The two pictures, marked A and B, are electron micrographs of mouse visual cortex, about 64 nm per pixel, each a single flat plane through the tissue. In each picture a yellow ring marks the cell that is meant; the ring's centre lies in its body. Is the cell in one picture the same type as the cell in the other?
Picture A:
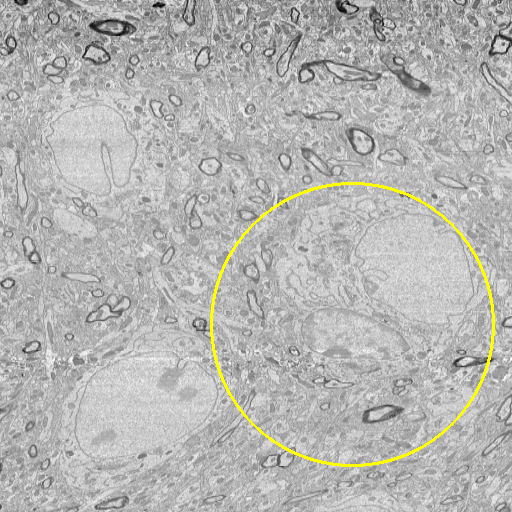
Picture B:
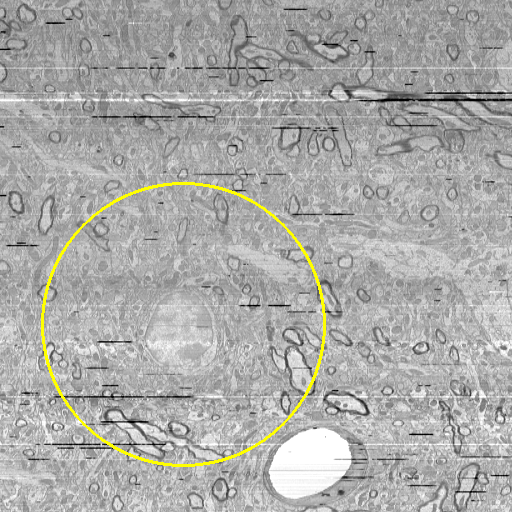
Yes, they are the same type: both are oligodendrocytes.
